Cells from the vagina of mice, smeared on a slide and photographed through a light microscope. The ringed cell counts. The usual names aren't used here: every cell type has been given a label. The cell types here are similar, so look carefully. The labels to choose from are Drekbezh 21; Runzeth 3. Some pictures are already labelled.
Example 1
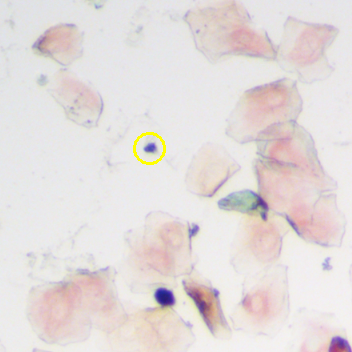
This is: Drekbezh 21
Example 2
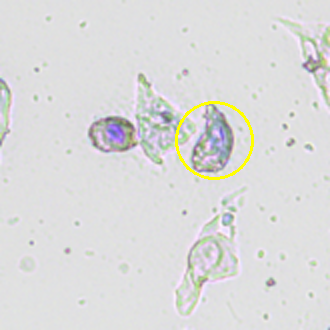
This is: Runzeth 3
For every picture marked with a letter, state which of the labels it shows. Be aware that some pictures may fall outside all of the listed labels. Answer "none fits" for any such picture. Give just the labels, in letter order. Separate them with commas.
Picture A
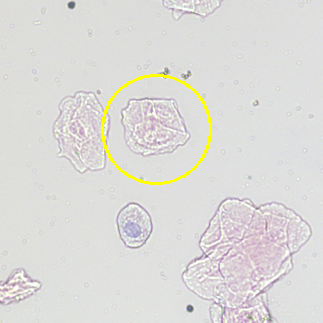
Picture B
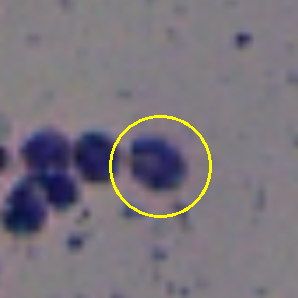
none fits, Drekbezh 21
